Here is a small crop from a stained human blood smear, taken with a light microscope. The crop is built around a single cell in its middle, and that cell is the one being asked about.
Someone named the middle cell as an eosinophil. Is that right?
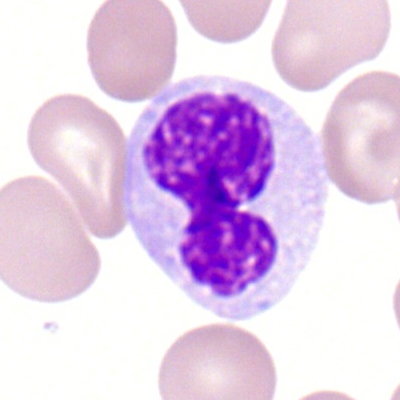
no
